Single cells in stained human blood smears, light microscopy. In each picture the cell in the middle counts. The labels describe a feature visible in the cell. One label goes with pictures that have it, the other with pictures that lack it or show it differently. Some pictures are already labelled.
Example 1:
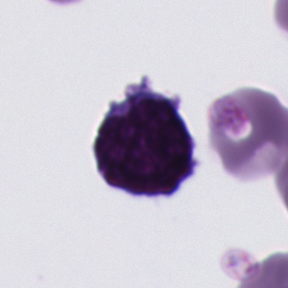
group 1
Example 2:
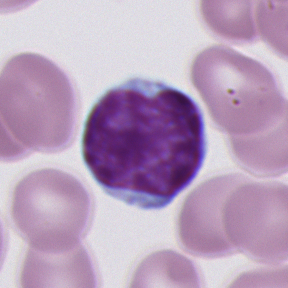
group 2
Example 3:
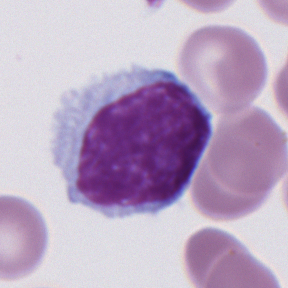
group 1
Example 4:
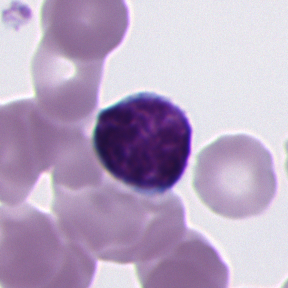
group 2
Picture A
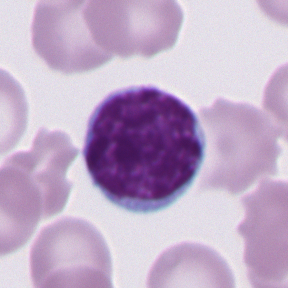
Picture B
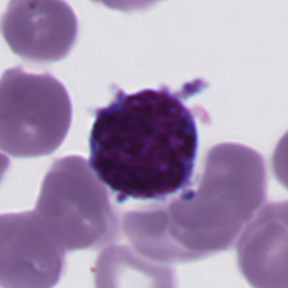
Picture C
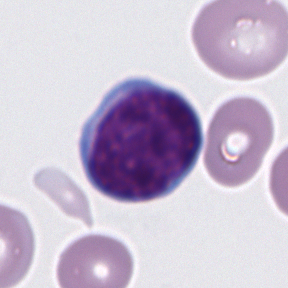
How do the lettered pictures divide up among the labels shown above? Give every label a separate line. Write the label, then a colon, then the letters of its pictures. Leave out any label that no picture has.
group 1: B
group 2: A, C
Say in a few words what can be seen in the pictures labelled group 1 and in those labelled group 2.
Seen in group 1: ragged outline or projections; seen in group 2: smooth outline.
